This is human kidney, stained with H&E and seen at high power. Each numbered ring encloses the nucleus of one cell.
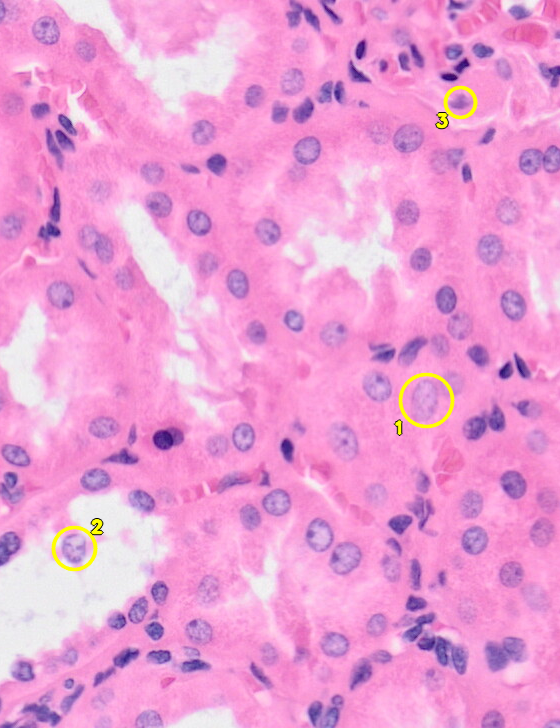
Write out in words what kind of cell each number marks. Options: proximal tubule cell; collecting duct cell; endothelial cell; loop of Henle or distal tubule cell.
Cell 1 is a proximal tubule cell. Cell 2 is a loop of Henle or distal tubule cell. Cell 3 is an endothelial cell.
